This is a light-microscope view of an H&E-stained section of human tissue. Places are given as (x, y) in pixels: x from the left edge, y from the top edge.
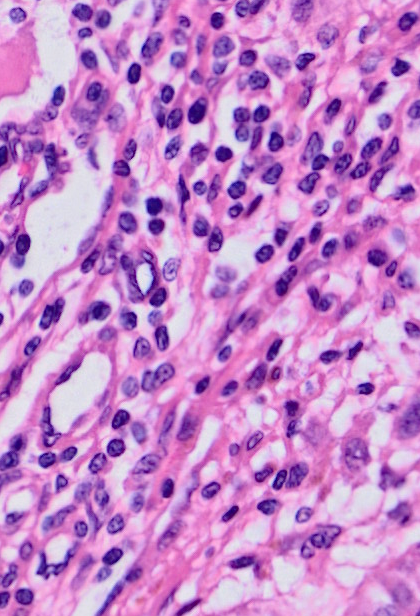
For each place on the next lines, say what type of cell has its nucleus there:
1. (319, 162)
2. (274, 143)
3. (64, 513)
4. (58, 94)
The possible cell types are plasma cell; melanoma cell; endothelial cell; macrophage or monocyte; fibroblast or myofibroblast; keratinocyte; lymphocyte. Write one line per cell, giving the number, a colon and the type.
1: lymphocyte
2: lymphocyte
3: endothelial cell
4: lymphocyte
